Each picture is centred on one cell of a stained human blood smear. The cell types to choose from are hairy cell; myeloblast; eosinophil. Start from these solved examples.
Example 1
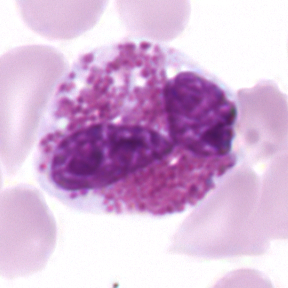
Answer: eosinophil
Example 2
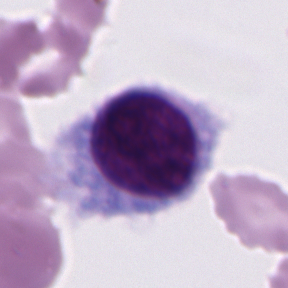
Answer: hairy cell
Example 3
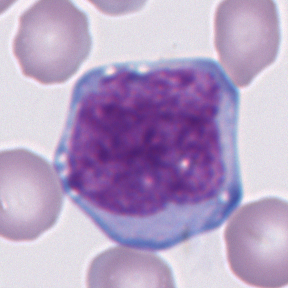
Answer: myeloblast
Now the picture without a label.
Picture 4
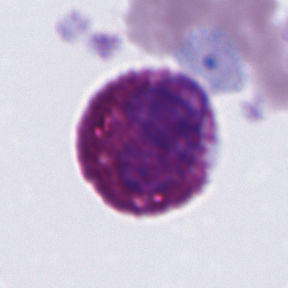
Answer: eosinophil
